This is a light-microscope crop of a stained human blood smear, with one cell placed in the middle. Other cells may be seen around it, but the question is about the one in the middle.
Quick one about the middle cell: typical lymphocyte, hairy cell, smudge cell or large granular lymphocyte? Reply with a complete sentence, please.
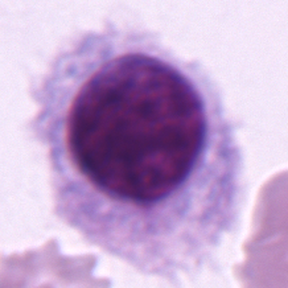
As for the cell in the middle, it is a hairy cell.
